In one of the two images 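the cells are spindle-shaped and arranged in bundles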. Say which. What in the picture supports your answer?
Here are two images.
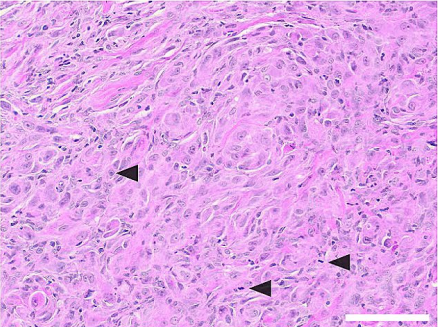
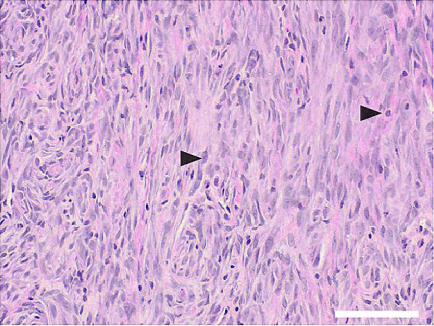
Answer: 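Second image: elongated cells with spindle nuclei run in streaming bundles. First image: cells are large and polygonal, lying in solid sheets.
Conclusion: the second image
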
